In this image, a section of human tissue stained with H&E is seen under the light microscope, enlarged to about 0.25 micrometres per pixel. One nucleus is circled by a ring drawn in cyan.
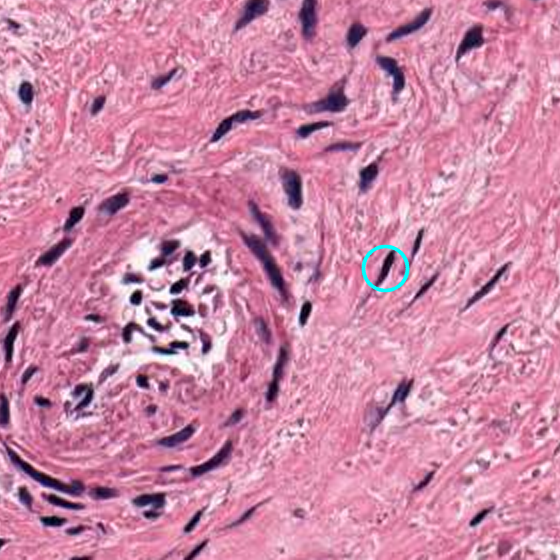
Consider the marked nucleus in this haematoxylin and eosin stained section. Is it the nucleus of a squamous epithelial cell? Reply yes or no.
no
